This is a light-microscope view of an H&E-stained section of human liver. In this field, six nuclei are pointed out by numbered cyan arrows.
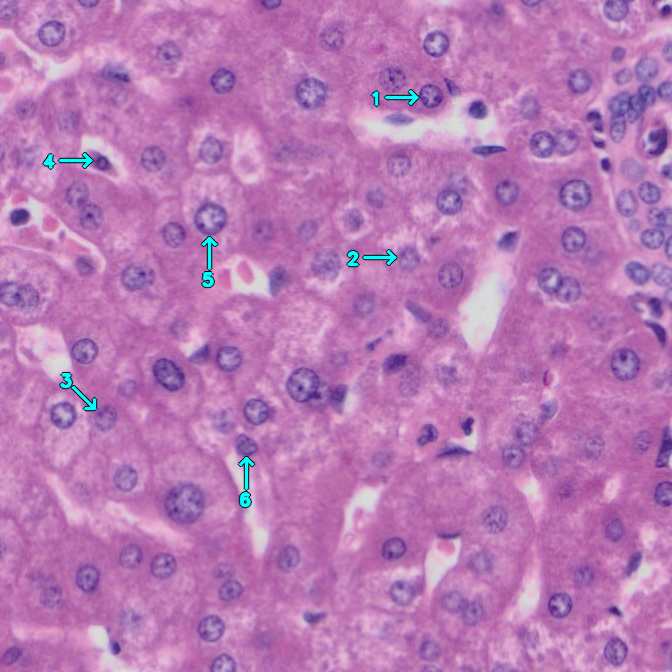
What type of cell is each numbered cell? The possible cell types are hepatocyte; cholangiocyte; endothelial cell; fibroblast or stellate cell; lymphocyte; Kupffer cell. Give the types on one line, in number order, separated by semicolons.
hepatocyte; hepatocyte; hepatocyte; Kupffer cell; hepatocyte; Kupffer cell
